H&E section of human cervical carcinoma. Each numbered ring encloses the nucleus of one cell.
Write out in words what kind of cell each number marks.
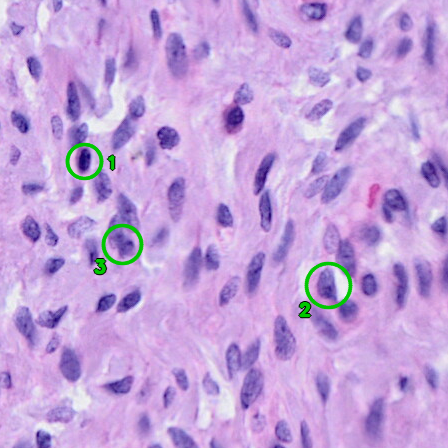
Cell 1 is a lymphocyte, cell 2 is an endothelial cell and cell 3 is a fibroblast.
